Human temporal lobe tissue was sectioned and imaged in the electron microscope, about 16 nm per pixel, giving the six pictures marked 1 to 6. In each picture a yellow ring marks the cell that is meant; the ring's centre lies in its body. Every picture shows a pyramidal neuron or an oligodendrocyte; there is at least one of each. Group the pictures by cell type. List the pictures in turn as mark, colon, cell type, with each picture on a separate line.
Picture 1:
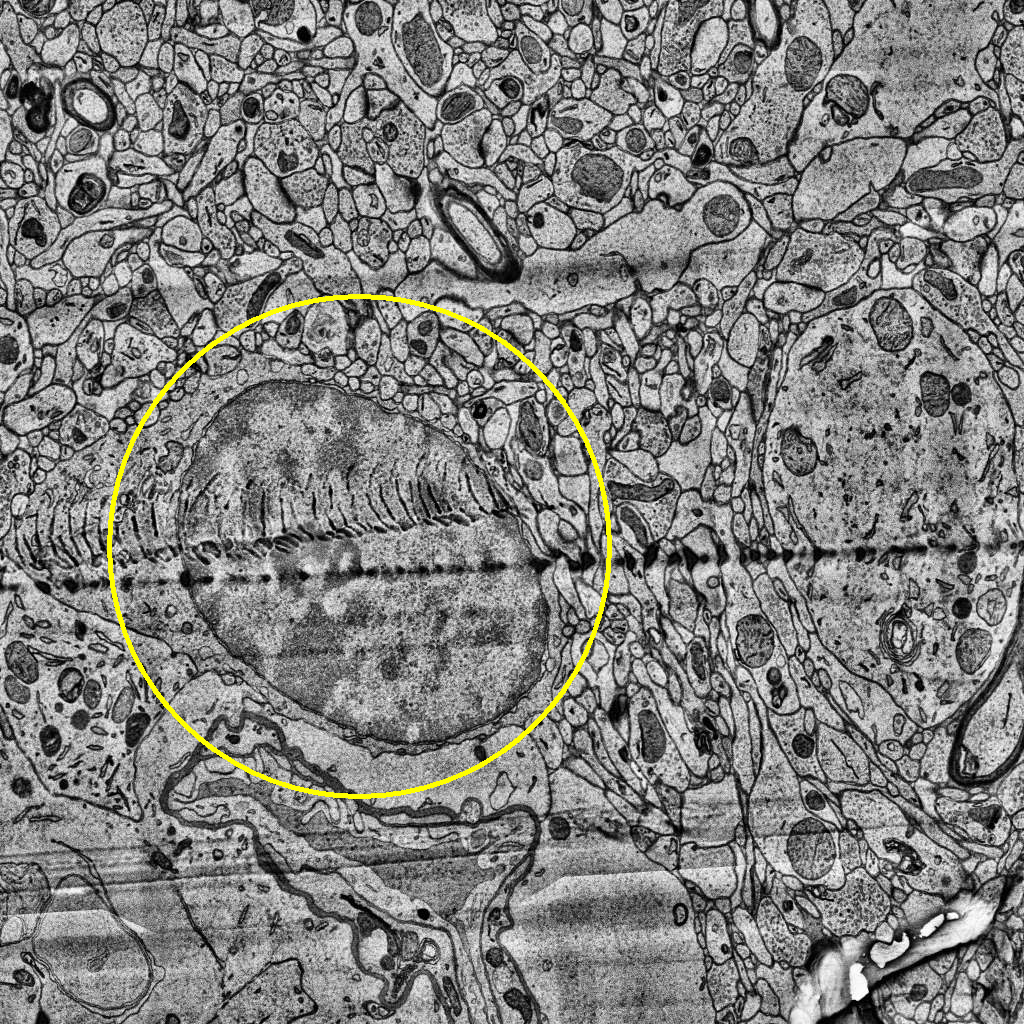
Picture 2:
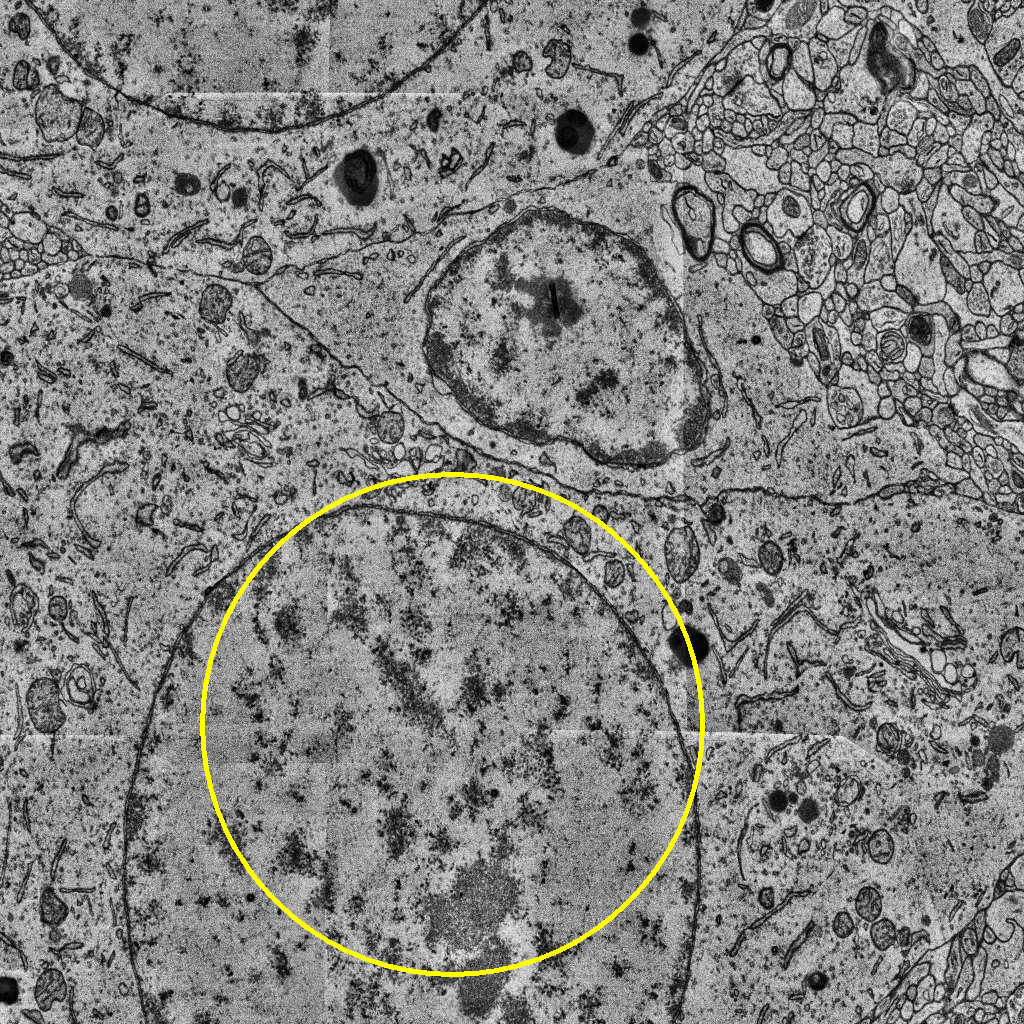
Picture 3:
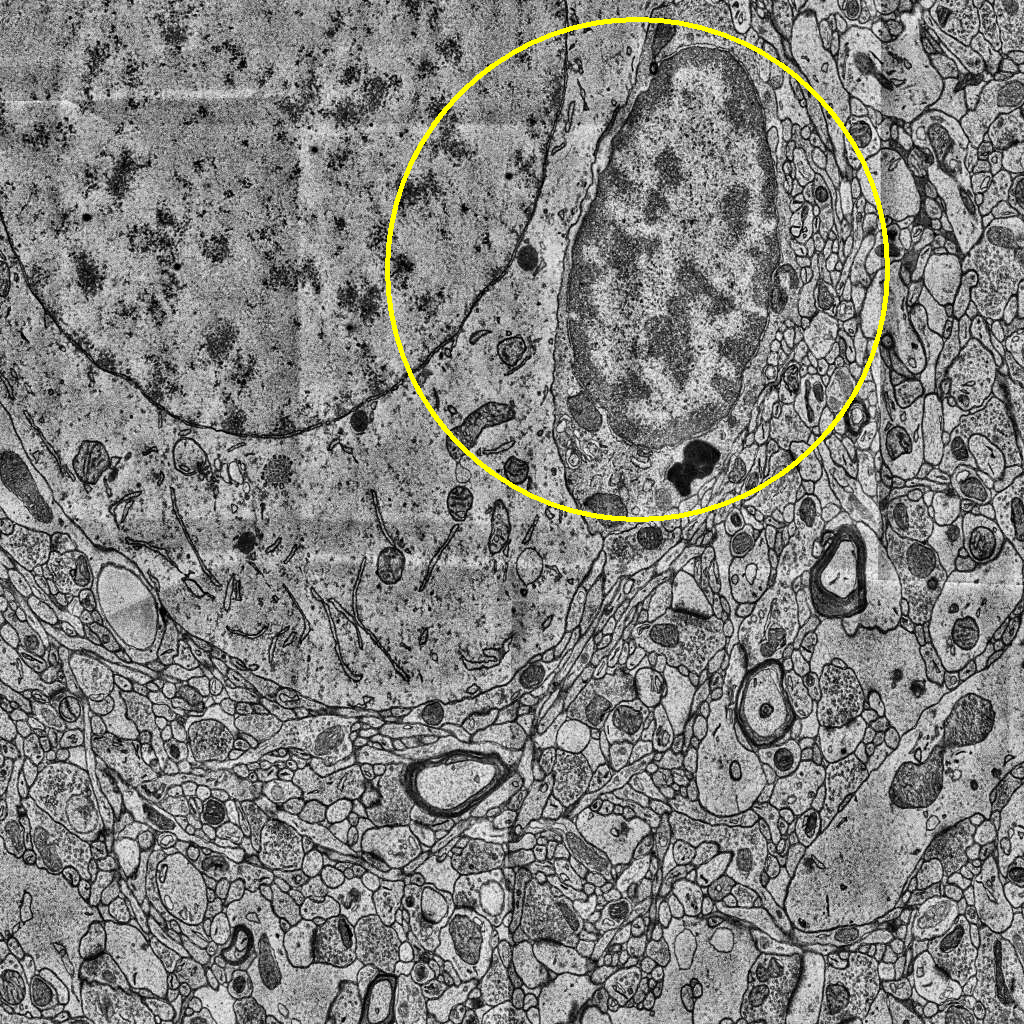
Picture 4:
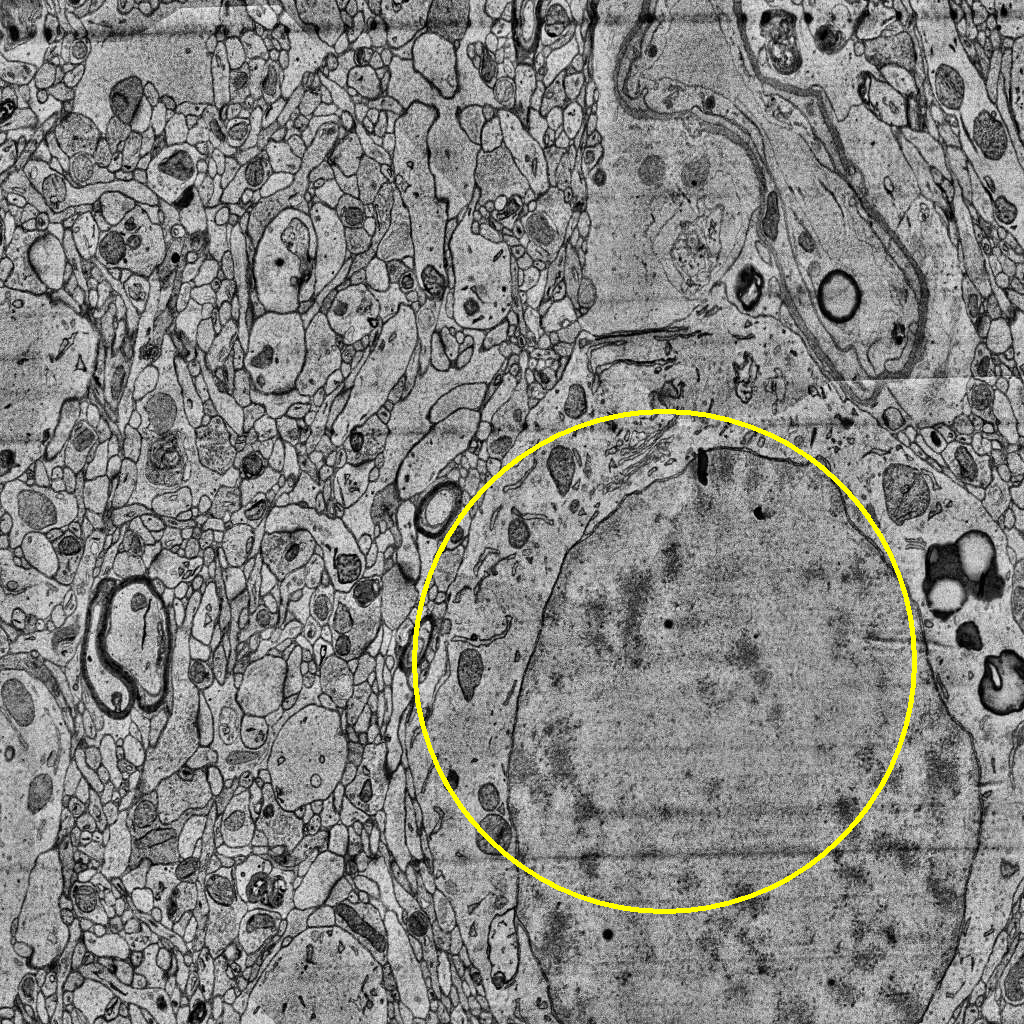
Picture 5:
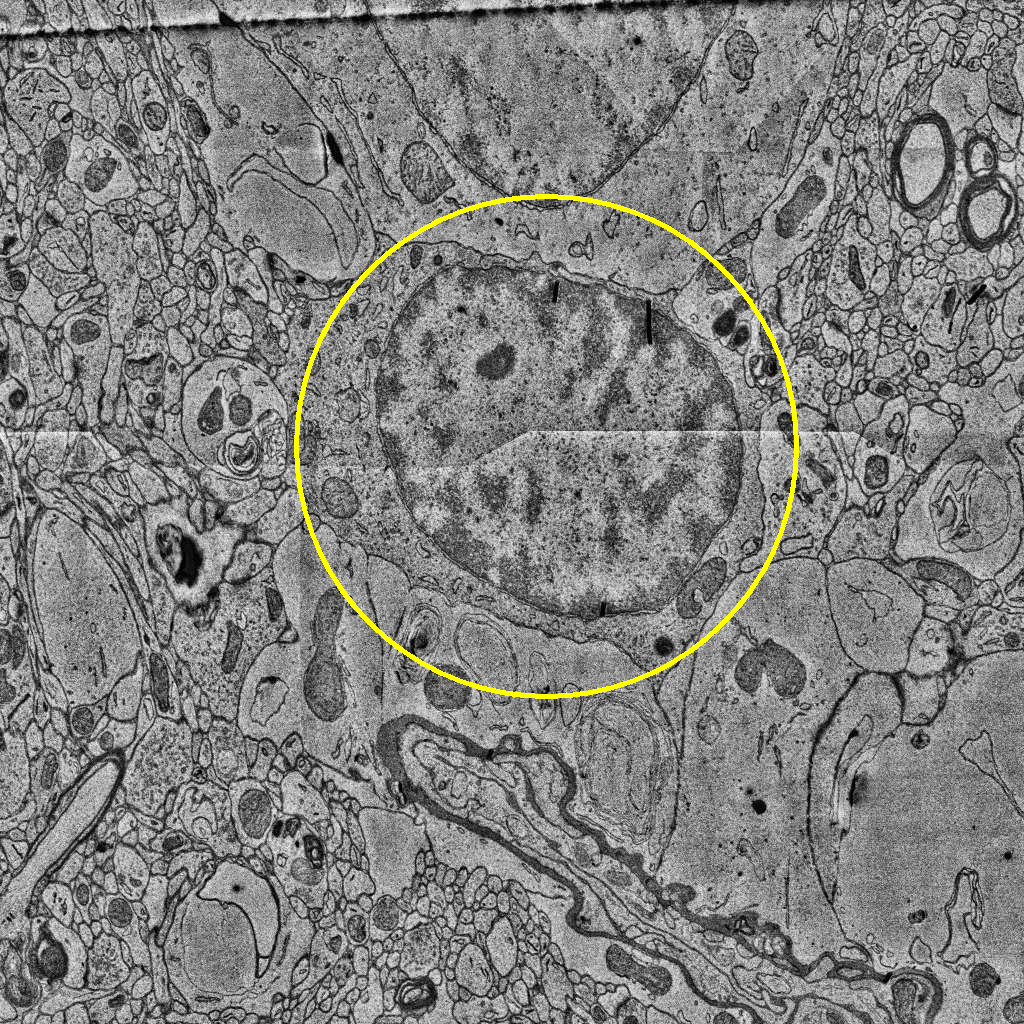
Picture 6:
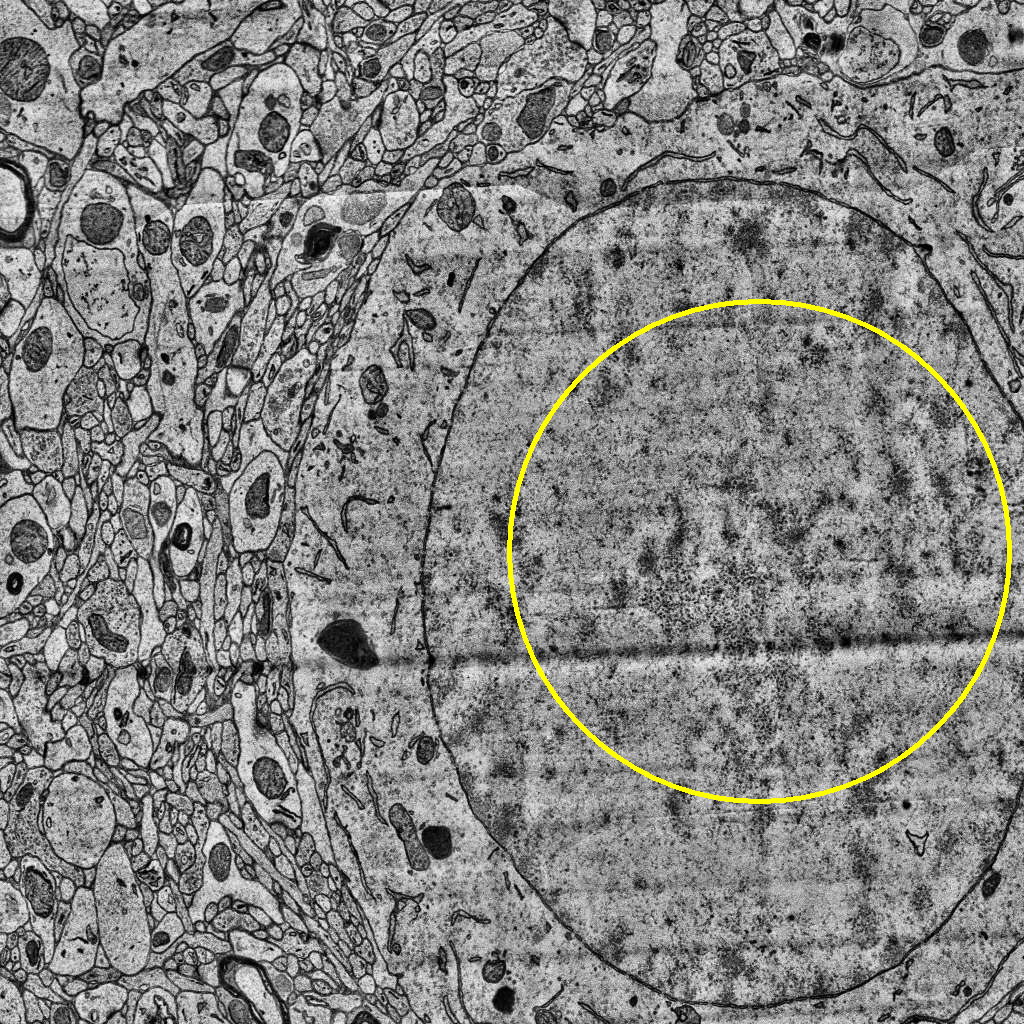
1: oligodendrocyte
2: pyramidal neuron
3: oligodendrocyte
4: pyramidal neuron
5: oligodendrocyte
6: pyramidal neuron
